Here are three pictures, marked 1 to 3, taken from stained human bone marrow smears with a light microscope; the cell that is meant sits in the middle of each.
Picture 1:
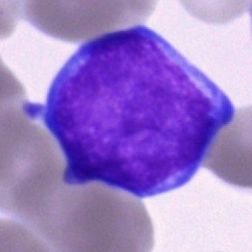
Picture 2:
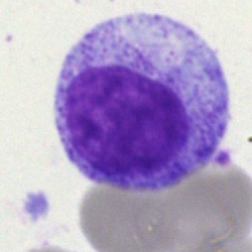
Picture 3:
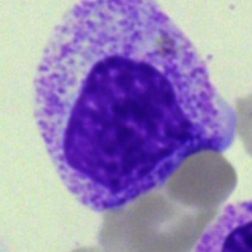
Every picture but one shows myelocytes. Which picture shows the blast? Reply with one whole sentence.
The cell in picture 1 is the blast.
